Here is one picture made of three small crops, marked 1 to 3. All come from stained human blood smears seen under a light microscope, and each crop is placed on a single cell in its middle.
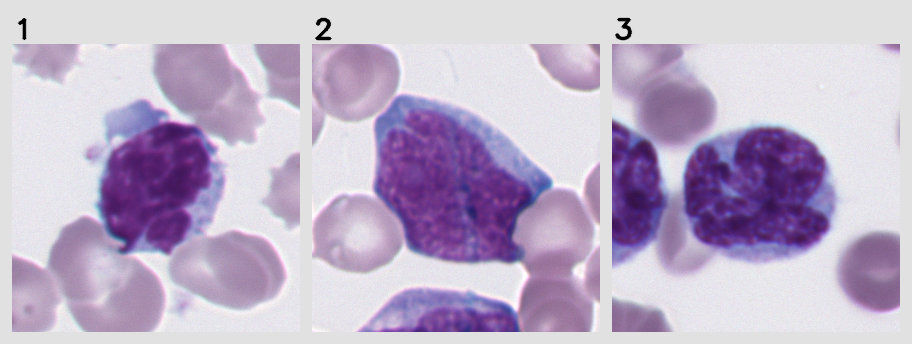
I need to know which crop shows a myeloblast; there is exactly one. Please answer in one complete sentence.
Crop 2 is the one in this set that shows a myeloblast.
